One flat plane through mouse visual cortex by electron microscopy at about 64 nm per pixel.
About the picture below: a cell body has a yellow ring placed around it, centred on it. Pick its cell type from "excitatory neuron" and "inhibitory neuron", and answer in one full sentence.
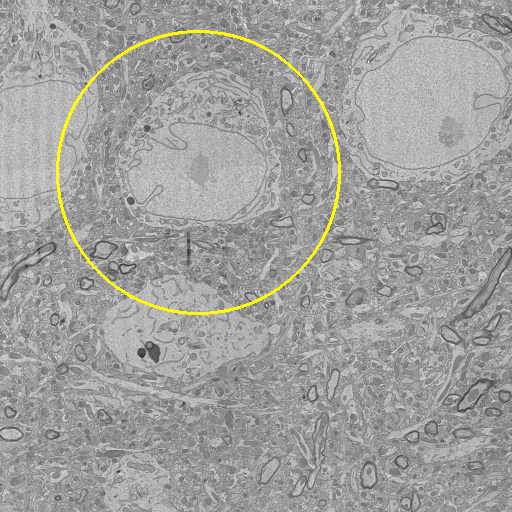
In the picture, an inhibitory neuron is the cell sitting at the centre of the yellow ring.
